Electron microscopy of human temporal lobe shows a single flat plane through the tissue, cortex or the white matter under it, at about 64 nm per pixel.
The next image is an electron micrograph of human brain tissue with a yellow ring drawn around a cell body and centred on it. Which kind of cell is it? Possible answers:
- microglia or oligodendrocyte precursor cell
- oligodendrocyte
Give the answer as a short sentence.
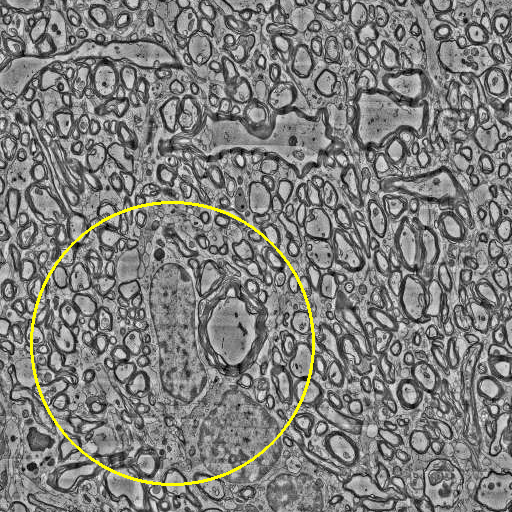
In the ring's centre is a microglial cell or oligodendrocyte precursor cell.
